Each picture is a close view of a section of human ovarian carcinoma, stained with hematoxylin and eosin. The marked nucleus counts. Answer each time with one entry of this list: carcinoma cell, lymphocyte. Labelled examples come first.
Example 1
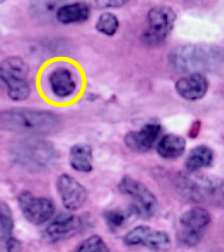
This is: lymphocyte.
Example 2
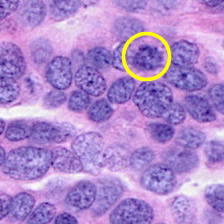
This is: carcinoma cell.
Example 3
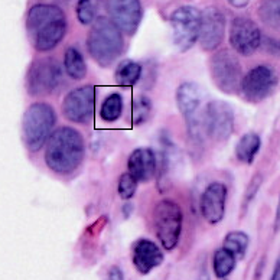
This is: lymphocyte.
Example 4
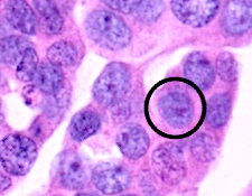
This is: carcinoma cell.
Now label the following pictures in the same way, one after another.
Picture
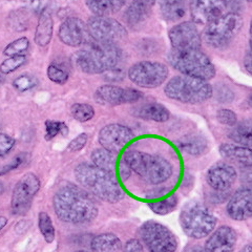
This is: carcinoma cell.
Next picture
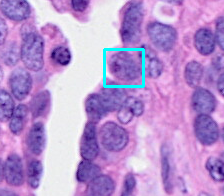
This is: carcinoma cell.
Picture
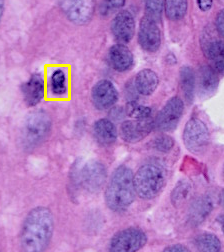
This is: lymphocyte.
